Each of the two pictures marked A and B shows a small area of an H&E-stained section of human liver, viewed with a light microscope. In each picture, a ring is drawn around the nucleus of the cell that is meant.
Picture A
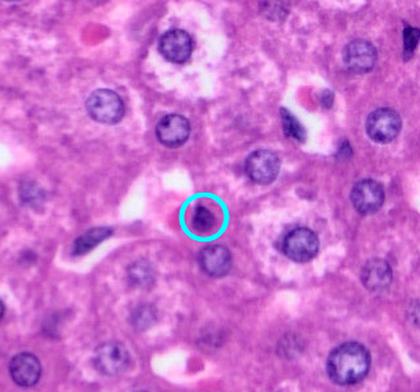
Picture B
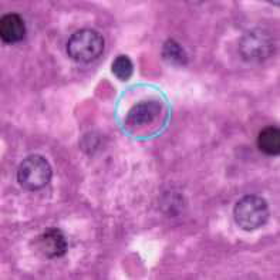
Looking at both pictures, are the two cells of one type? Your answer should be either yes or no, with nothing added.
no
